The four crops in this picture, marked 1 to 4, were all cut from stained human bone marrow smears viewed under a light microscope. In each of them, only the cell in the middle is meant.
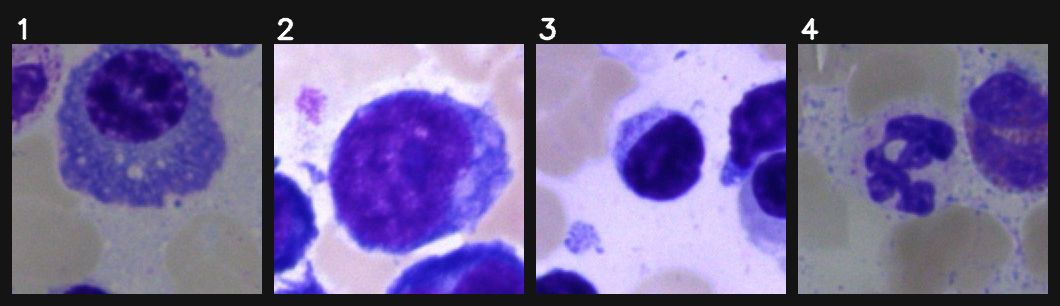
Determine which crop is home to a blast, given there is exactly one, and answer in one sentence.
The crop marked 2 is the one in which a blast is shown.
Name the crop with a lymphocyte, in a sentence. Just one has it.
The cell identified as a lymphocyte is the one in crop 3.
